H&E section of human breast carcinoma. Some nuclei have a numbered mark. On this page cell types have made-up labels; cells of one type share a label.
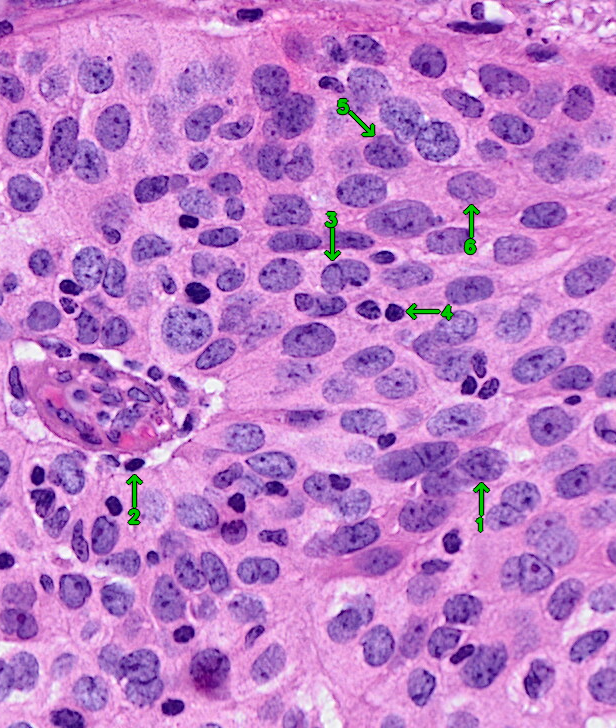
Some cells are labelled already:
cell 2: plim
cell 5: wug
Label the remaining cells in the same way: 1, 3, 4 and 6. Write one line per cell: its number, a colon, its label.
1: wug
3: wug
4: plim
6: wug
